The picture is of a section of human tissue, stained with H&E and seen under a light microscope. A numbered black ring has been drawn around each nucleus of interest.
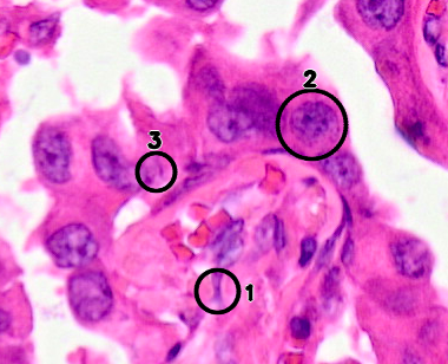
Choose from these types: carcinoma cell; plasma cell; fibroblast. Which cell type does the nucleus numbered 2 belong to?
carcinoma cell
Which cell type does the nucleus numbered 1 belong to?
fibroblast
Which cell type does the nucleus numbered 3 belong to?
carcinoma cell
